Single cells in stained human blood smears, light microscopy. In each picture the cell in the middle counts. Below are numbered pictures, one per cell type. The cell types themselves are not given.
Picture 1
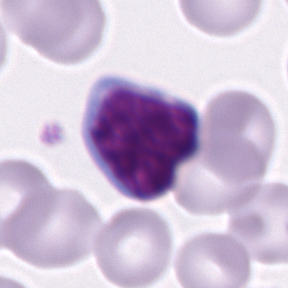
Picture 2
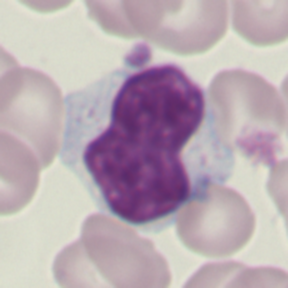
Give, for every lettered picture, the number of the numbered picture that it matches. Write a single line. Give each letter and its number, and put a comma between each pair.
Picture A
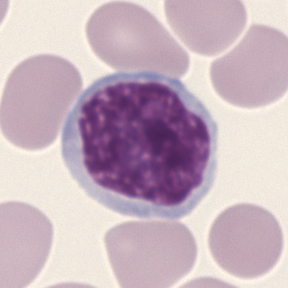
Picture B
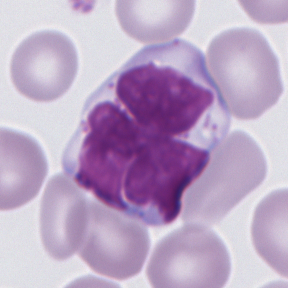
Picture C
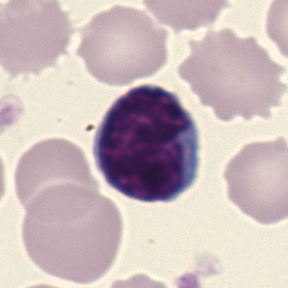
A 1, B 2, C 1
